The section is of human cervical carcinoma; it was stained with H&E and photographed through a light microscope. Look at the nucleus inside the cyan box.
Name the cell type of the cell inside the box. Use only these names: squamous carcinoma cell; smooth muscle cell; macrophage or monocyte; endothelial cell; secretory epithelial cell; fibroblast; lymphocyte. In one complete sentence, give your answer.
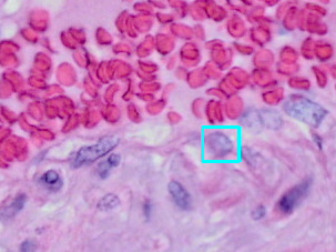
In this section of tissue, the cell inside the box is an endothelial cell.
